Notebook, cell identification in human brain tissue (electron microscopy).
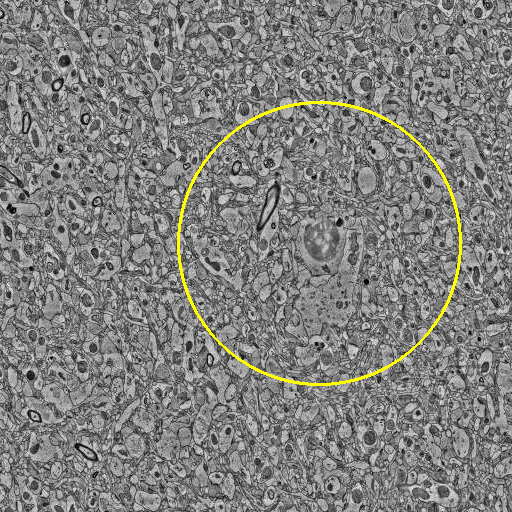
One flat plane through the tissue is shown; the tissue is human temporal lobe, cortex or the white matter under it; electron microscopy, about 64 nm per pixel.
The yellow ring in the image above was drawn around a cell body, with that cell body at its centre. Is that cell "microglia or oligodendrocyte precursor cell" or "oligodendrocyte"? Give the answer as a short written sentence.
The cell in the ring is an oligodendrocyte.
